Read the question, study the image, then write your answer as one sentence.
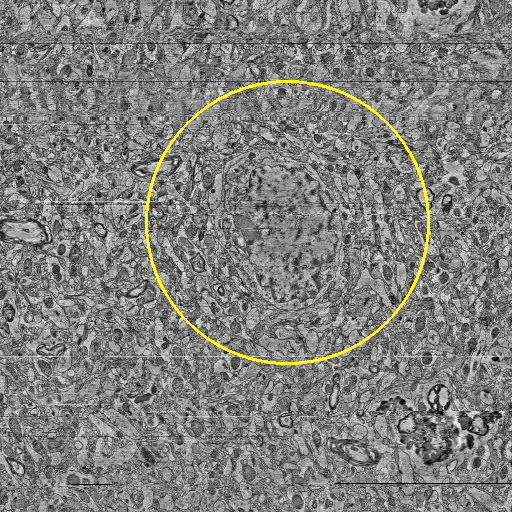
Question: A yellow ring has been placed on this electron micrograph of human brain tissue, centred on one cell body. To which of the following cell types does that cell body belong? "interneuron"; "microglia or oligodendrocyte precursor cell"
That cell body belongs to an interneuron.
